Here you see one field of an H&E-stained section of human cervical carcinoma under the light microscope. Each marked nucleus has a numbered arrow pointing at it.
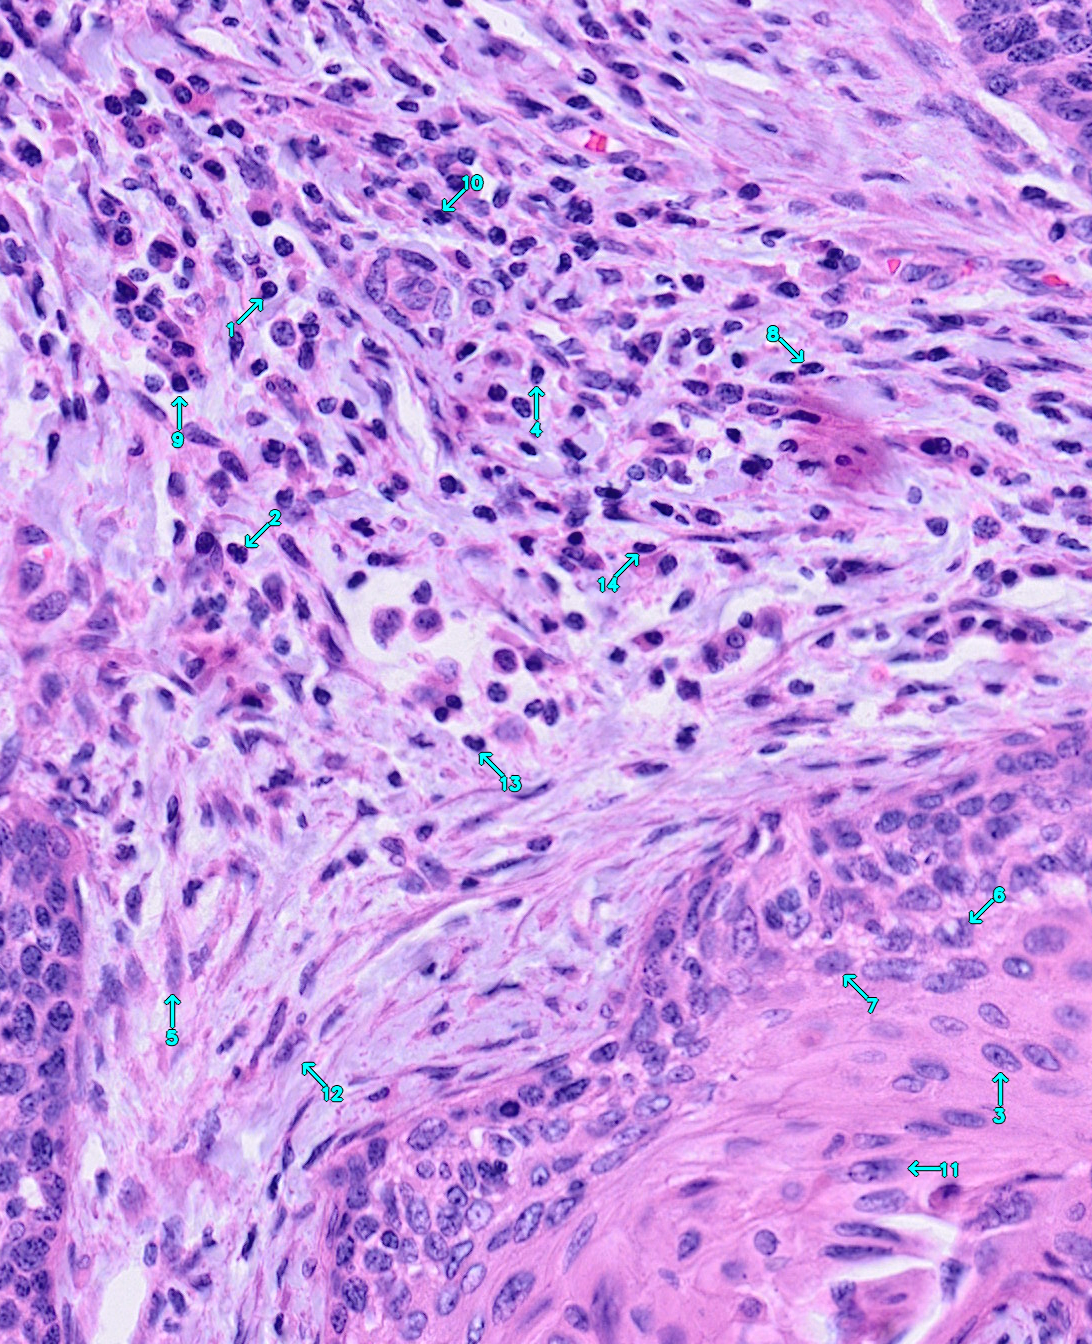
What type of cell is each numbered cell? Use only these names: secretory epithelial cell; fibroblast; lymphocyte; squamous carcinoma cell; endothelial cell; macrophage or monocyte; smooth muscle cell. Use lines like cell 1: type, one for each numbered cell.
cell 1: lymphocyte
cell 2: lymphocyte
cell 3: squamous carcinoma cell
cell 4: lymphocyte
cell 5: fibroblast
cell 6: squamous carcinoma cell
cell 7: squamous carcinoma cell
cell 8: lymphocyte
cell 9: lymphocyte
cell 10: lymphocyte
cell 11: squamous carcinoma cell
cell 12: fibroblast
cell 13: lymphocyte
cell 14: lymphocyte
